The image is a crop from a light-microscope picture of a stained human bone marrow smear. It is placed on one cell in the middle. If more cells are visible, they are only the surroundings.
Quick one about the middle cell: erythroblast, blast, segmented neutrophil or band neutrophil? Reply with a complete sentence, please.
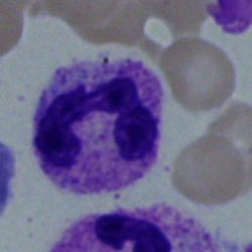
What the crop centres on is a band neutrophil.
